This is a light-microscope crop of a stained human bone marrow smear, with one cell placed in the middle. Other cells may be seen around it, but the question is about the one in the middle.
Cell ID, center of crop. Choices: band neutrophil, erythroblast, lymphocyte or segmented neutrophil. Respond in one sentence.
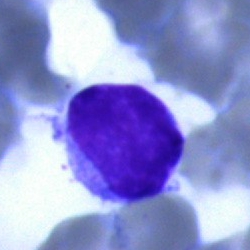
In the middle of this smear crop is a lymphocyte.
